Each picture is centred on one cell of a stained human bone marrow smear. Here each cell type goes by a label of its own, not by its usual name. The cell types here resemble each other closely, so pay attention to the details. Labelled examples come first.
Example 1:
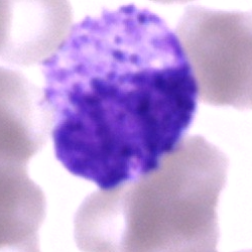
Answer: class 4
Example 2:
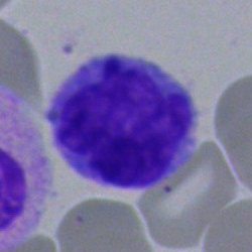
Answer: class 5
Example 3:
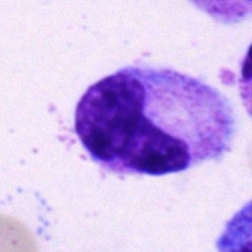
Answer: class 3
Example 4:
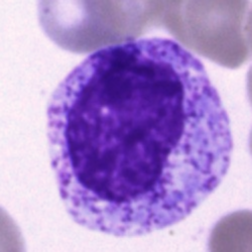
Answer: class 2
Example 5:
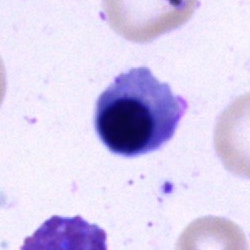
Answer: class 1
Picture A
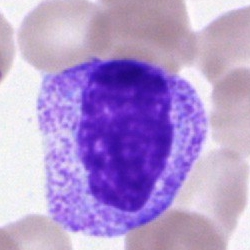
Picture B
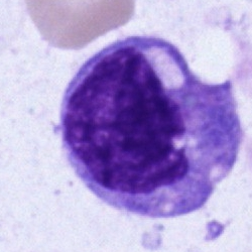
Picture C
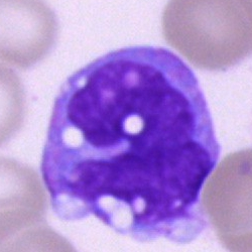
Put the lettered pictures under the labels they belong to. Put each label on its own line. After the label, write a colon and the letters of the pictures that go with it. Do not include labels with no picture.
class 5: B, C
class 2: A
